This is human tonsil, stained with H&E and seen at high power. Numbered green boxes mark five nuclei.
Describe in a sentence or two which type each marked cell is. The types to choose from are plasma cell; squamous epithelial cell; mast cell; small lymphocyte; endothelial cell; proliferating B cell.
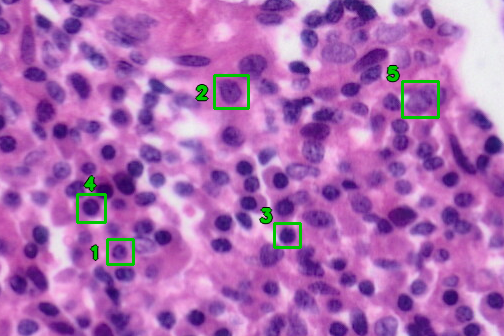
Cells 1, 3 and 4 are plasma cells. Cells 2 and 5 are squamous epithelial cells.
